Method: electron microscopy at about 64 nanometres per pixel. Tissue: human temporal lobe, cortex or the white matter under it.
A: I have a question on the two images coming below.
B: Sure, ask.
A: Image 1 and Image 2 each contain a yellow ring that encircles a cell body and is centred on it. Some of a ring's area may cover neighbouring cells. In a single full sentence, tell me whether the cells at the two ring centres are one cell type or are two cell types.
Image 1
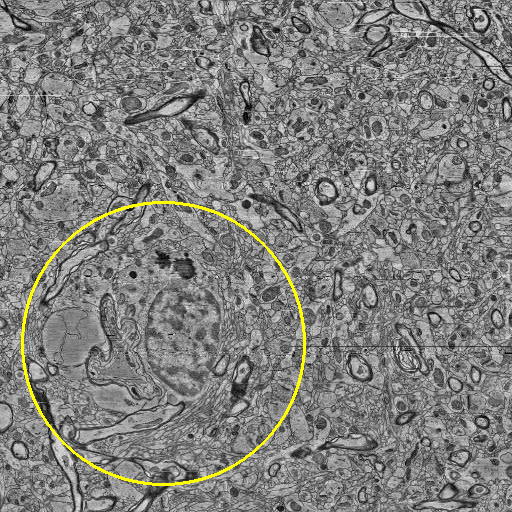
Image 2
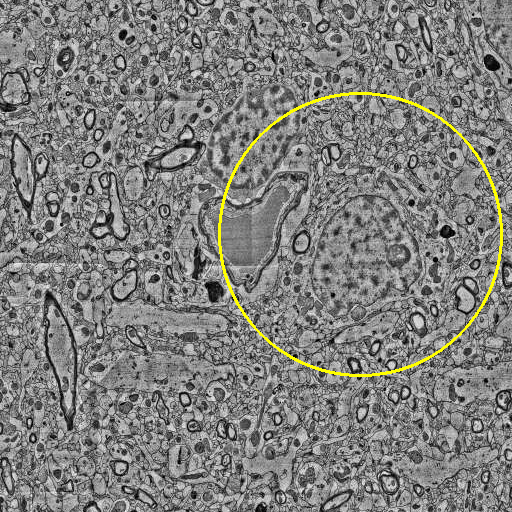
As for the ring-centre cells, the one in Image 1 and the one in Image 2 are two cell types.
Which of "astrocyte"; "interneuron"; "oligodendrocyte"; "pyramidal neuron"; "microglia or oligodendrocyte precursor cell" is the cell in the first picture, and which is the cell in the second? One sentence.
The two differ: the first cell is an oligodendrocyte and the second is an interneuron.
